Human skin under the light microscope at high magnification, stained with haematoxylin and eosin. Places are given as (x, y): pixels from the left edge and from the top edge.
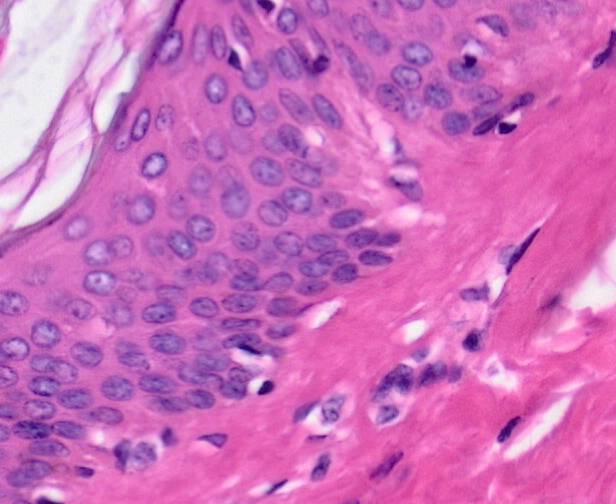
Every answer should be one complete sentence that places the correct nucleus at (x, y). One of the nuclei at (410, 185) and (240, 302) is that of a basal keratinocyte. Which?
The nucleus situated at (240, 302) is the one belonging to a basal keratinocyte.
